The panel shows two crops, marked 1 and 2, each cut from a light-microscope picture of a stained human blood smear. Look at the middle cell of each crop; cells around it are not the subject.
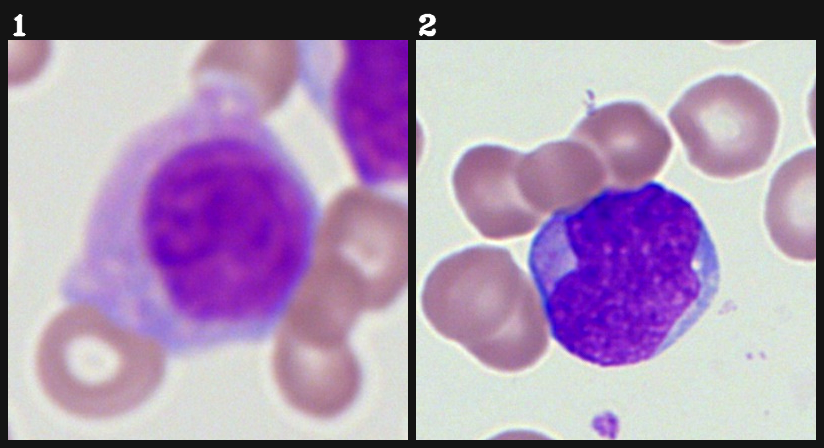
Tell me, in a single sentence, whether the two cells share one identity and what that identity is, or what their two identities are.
No, the cell in crop 1 is a monocyte, and the cell in crop 2 is a myeloblast.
